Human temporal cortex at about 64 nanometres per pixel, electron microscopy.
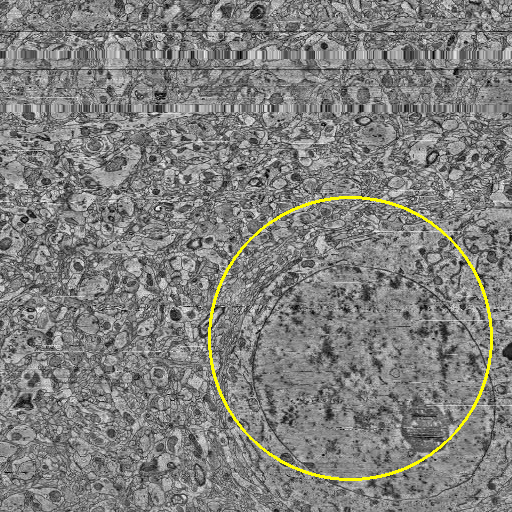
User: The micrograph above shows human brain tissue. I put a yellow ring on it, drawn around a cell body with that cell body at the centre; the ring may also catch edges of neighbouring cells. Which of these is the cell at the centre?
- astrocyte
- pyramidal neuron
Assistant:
pyramidal neuron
